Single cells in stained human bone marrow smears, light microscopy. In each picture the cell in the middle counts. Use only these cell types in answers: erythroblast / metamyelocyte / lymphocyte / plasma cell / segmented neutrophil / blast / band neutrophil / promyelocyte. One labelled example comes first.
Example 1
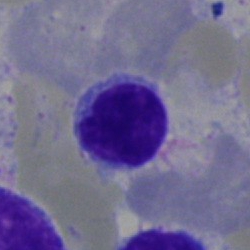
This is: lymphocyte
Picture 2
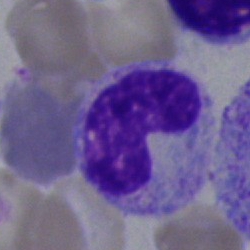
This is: band neutrophil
